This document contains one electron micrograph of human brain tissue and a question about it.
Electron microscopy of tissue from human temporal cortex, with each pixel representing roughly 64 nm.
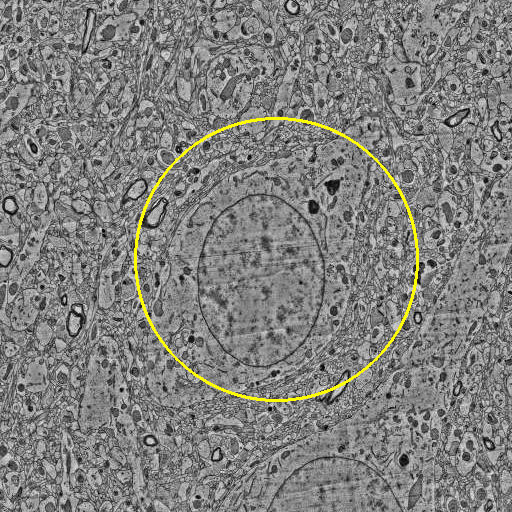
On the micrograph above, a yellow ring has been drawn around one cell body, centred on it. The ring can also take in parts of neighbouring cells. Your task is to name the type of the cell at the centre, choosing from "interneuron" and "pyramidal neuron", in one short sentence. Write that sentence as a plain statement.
Here the ring is centred on a pyramidal neuron.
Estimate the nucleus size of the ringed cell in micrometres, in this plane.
In this plane, the nucleus is roughly 11 by 8 micrometres.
